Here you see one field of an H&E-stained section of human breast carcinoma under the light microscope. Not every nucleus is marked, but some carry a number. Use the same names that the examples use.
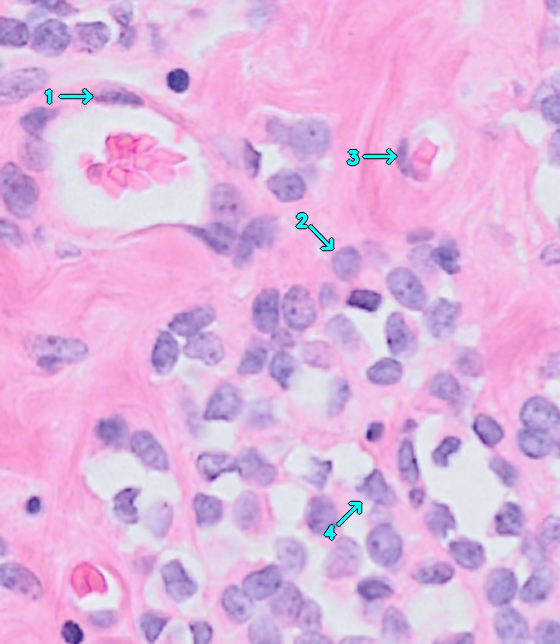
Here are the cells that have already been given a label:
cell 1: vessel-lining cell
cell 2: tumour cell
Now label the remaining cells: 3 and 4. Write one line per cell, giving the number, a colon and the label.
3: vessel-lining cell
4: tumour cell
